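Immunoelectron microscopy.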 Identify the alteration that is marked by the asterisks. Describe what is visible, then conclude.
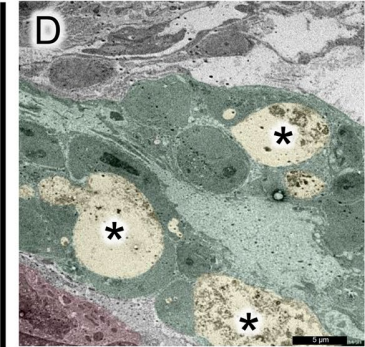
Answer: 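Large vacuoles. Large rounded pale spaces lie within the cells. They contain scattered dark debris.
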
